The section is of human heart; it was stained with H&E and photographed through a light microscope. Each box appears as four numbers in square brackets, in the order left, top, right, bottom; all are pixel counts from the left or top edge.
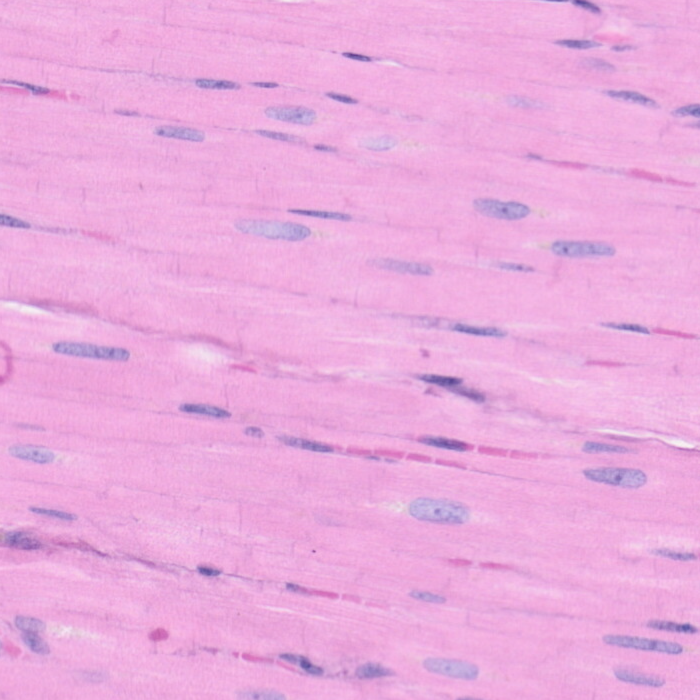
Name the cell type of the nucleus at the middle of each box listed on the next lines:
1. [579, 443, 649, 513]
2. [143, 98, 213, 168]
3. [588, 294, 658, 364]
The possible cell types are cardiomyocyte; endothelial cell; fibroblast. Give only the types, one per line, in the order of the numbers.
cardiomyocyte
cardiomyocyte
endothelial cell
